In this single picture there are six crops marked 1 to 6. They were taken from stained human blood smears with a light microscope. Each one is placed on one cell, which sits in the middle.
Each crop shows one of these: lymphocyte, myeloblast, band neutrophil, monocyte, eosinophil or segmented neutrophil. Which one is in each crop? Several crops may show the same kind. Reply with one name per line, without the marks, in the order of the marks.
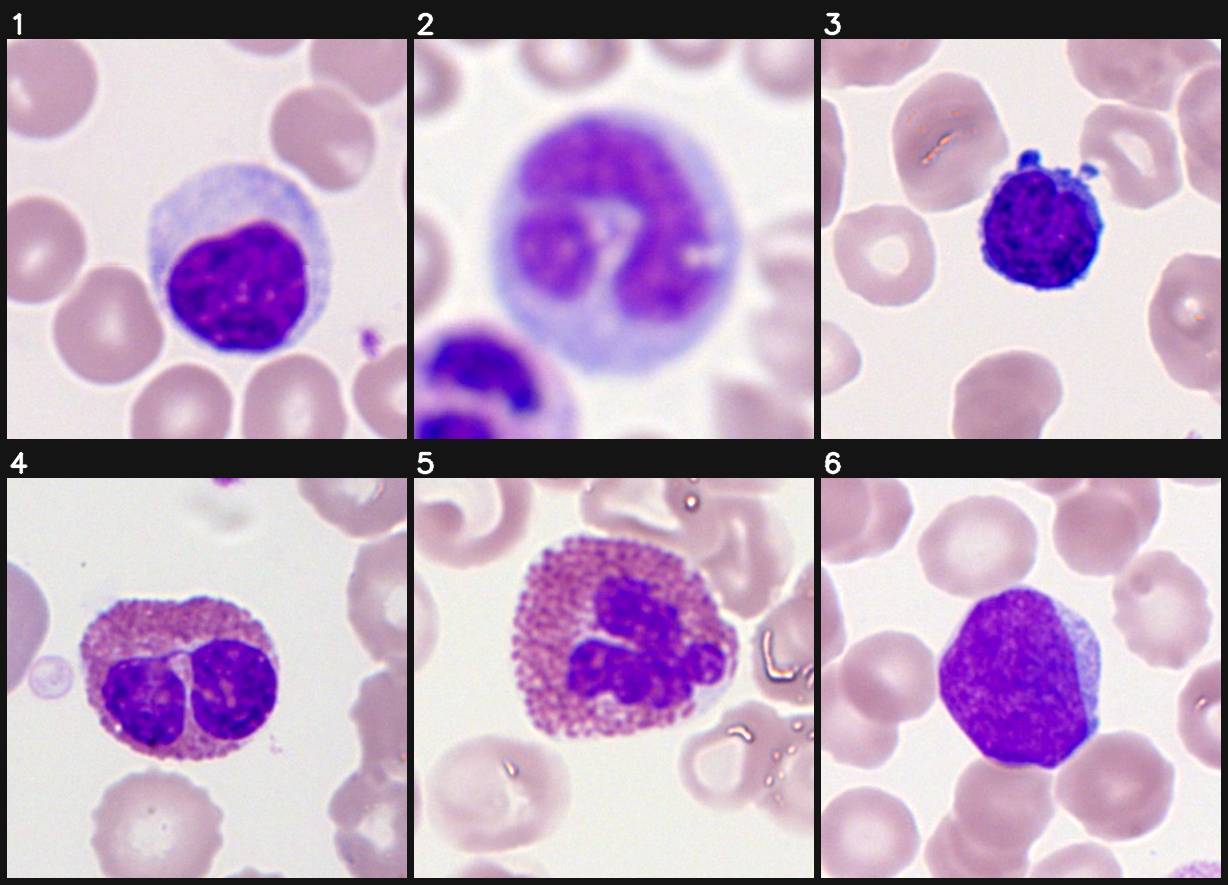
lymphocyte
monocyte
lymphocyte
eosinophil
eosinophil
myeloblast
